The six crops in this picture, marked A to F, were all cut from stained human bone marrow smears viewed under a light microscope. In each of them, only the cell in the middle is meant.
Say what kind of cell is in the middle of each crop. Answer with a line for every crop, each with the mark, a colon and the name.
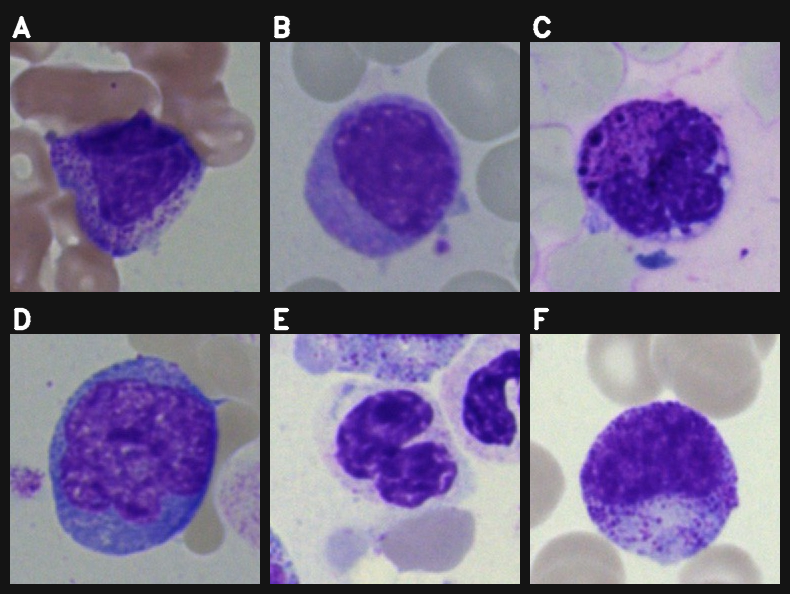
A: myelocyte
B: monocyte
C: basophil
D: monocyte
E: segmented neutrophil
F: myelocyte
